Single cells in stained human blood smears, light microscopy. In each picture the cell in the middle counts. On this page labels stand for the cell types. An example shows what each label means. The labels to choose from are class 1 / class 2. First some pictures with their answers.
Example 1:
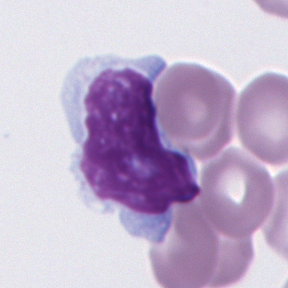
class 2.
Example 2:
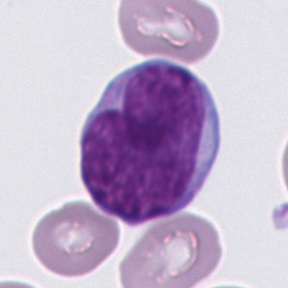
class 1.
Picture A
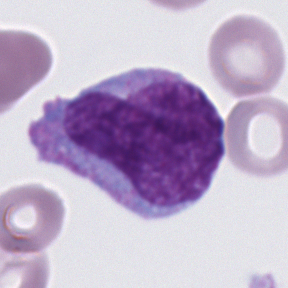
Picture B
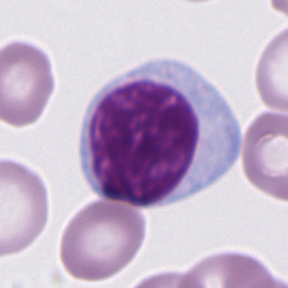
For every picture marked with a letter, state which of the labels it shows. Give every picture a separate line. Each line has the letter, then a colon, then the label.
A: class 1.
B: class 2.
